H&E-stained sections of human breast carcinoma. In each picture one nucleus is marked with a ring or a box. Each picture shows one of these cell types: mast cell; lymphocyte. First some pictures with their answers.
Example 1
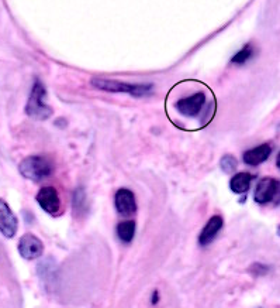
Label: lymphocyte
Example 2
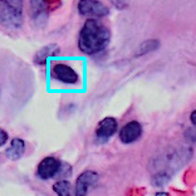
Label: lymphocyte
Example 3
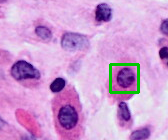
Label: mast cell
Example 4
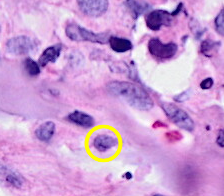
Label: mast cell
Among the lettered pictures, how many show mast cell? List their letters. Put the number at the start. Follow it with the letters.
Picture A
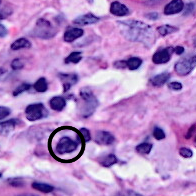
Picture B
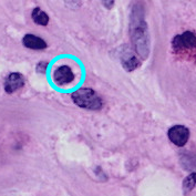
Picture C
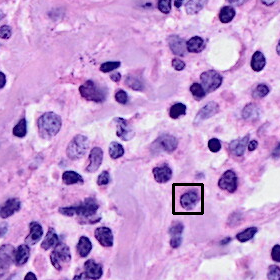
1, namely C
